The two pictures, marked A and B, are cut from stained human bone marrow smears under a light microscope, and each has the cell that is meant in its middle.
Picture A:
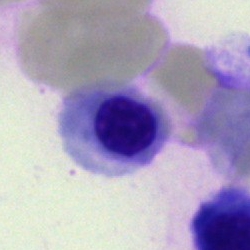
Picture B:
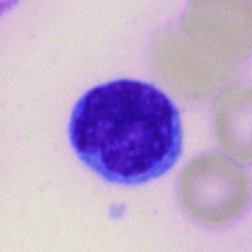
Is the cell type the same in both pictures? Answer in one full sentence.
No, they differ: the cell is an erythroblast in picture A and a lymphocyte in picture B.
